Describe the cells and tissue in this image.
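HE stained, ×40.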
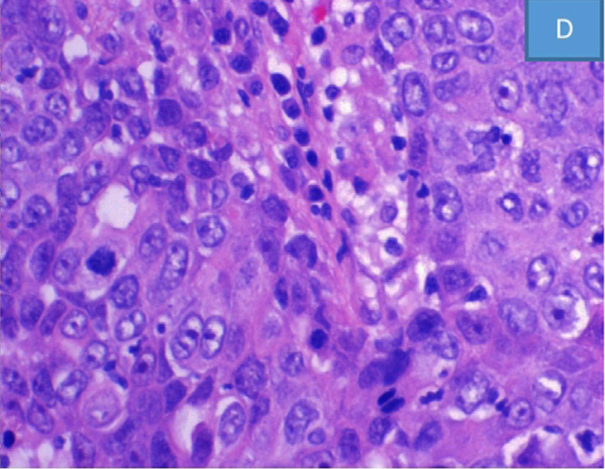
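At high power these are large tumor cells with plentiful pink cytoplasm and big, pale, vesicular nuclei whose chromatin is pushed to the nuclear membrane, many with a prominent nucleolus. Scattered among them are cells with dark, clumped, irregular masses of chromosomes, which are abnormal mitotic figures. A narrow strand of stroma with small dark inflammatory cells runs down through the middle between groups of tumor cells. Nuclei vary in size and shape from cell to cell.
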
